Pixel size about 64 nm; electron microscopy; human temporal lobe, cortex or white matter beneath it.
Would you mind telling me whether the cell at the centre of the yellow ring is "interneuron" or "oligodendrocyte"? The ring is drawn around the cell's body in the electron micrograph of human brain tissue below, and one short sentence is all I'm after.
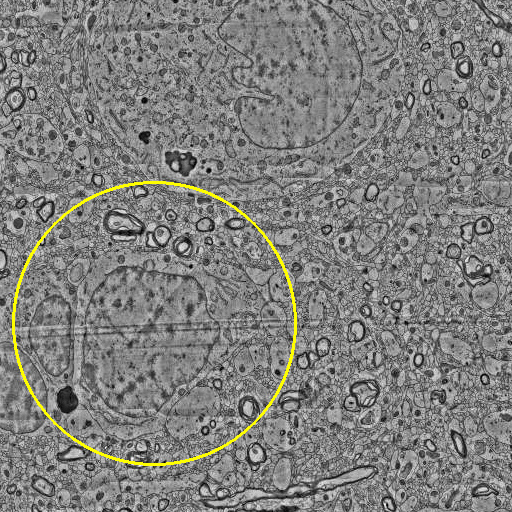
In the centre of the ring lies an interneuron.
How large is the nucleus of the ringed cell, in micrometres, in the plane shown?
The nucleus is approximately 9 micrometers across in this plane.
